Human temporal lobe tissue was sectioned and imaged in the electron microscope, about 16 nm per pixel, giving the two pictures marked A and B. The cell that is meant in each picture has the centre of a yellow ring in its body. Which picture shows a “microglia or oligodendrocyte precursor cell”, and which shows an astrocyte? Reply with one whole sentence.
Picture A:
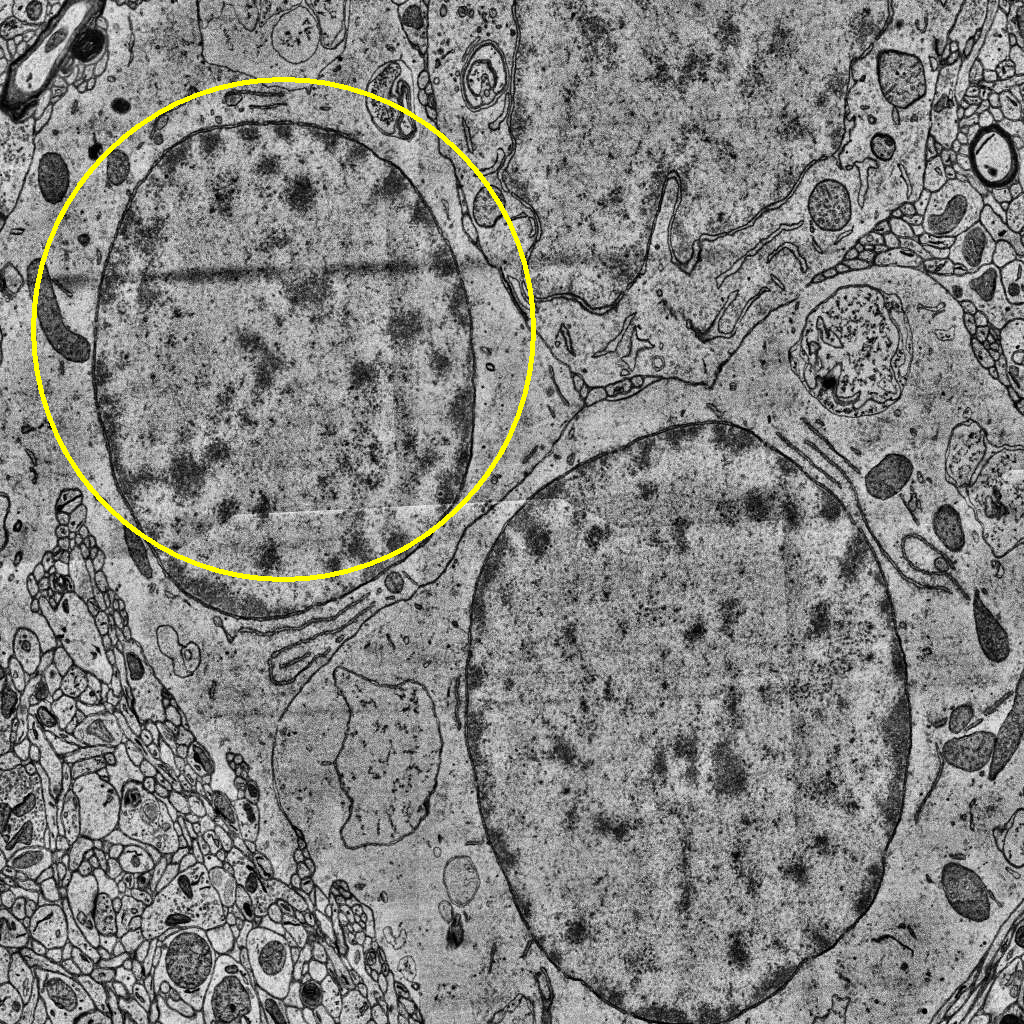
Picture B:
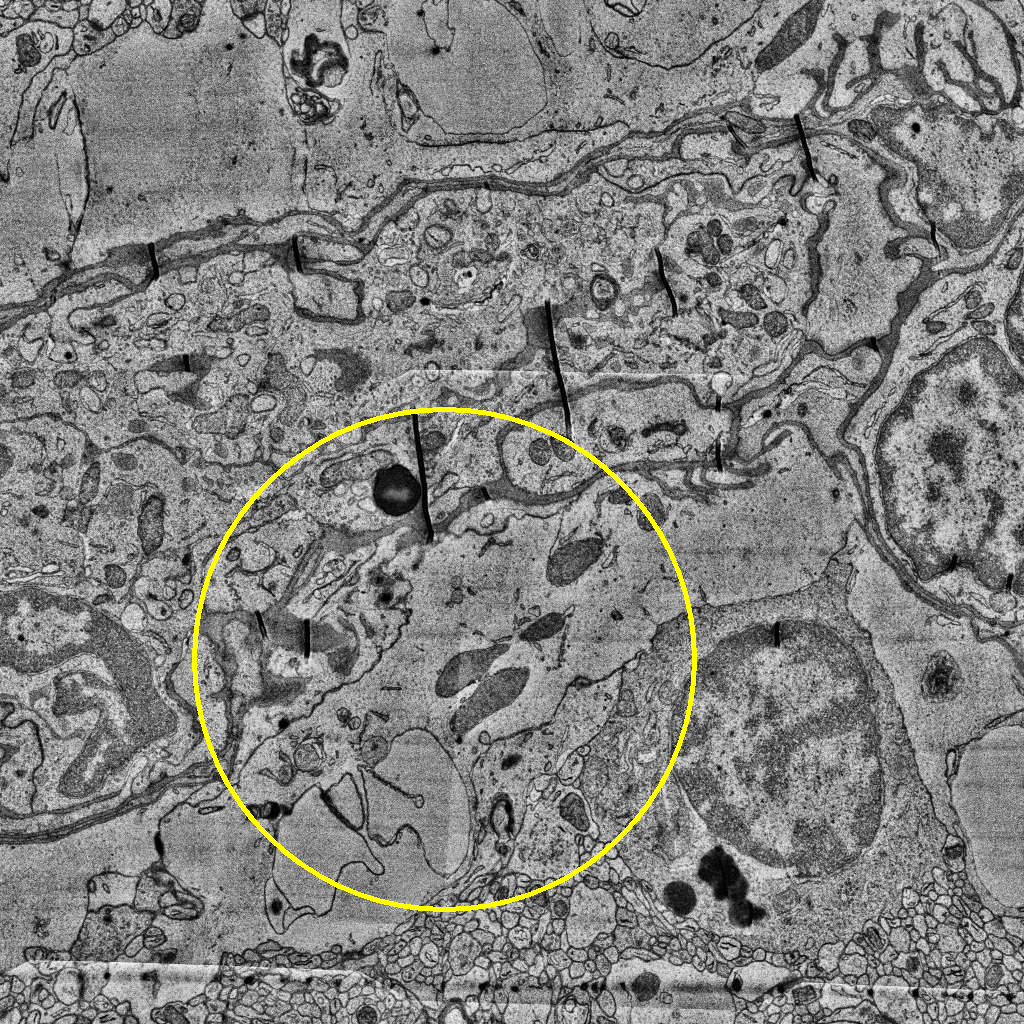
Picture B shows a “microglia or oligodendrocyte precursor cell”, while picture A shows an astrocyte.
